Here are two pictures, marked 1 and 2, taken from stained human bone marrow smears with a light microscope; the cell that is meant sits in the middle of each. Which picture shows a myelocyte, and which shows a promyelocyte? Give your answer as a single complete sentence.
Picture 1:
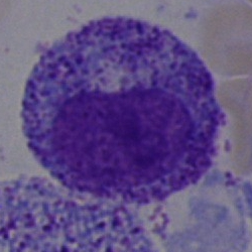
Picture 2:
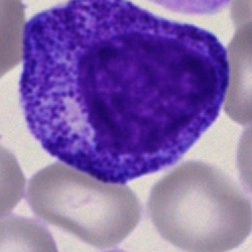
Picture 2 shows a myelocyte, while picture 1 shows a promyelocyte.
